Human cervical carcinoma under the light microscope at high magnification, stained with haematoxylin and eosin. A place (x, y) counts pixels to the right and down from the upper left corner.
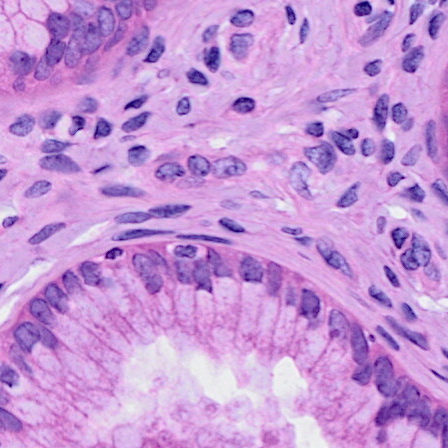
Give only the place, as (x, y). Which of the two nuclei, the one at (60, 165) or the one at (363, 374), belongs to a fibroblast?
(60, 165)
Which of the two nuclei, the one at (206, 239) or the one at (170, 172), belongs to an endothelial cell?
(170, 172)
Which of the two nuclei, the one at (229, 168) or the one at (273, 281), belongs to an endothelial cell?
(229, 168)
